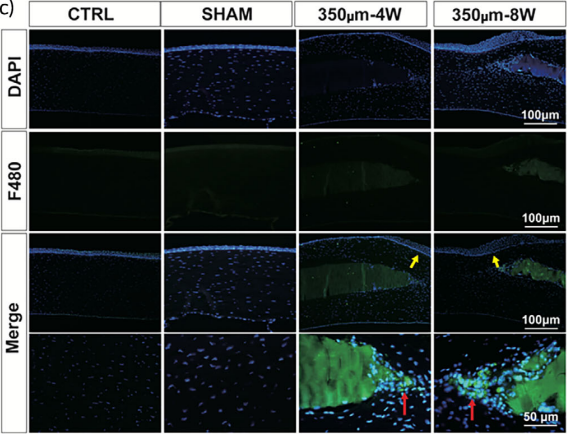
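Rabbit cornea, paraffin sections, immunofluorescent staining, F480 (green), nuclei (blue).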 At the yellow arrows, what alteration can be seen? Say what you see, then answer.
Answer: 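Thickened epithelial layer. The nucleated surface layer above the green block is thicker than in the left-hand columns. The surface layer bulges over the stroma where the arrows point.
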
